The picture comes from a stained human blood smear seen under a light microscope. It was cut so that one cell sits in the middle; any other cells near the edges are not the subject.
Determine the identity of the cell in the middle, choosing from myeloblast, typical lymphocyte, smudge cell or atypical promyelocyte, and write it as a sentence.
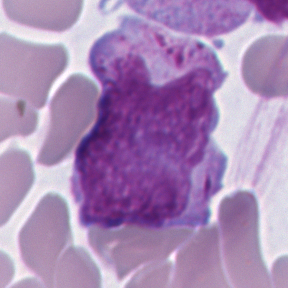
The cell in the exact centre of the crop is an atypical promyelocyte.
